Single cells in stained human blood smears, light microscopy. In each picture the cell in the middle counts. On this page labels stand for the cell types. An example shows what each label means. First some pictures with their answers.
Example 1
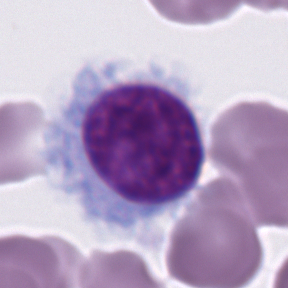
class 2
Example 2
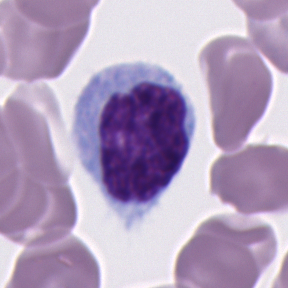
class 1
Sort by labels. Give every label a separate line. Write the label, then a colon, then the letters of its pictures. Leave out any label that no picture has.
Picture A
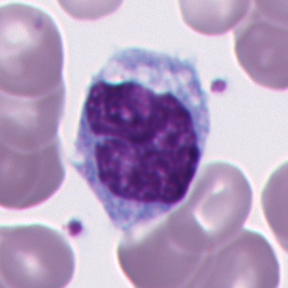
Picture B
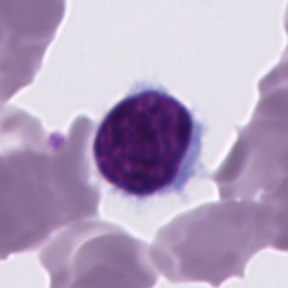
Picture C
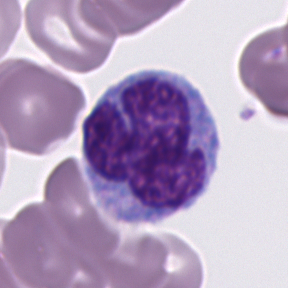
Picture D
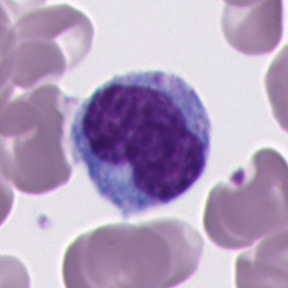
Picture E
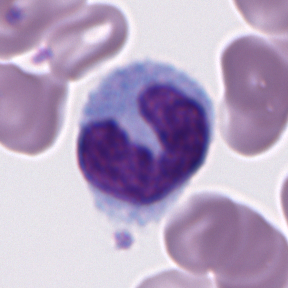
class 2: B
class 1: A, C, D, E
